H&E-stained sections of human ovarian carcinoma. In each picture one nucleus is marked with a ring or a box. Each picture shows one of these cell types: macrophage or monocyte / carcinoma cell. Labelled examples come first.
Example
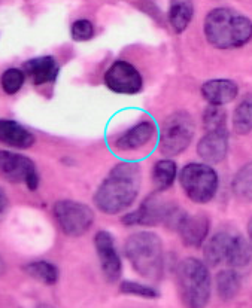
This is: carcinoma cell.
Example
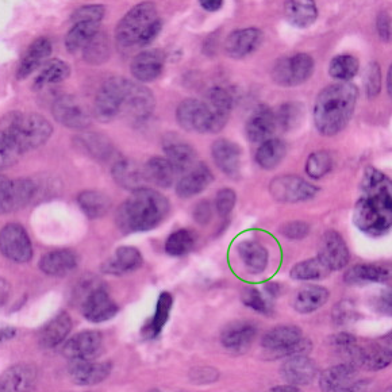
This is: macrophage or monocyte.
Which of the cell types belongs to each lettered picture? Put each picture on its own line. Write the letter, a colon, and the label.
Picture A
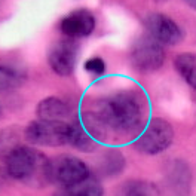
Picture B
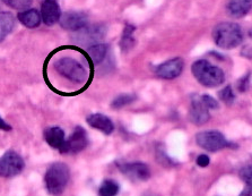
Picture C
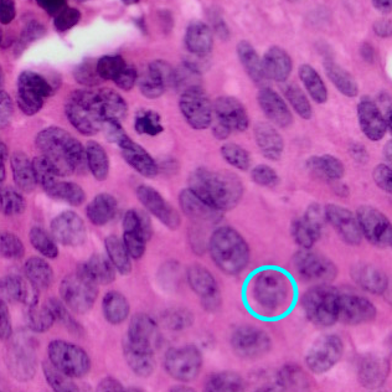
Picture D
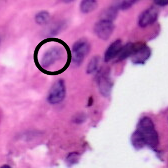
A: carcinoma cell.
B: carcinoma cell.
C: carcinoma cell.
D: macrophage or monocyte.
